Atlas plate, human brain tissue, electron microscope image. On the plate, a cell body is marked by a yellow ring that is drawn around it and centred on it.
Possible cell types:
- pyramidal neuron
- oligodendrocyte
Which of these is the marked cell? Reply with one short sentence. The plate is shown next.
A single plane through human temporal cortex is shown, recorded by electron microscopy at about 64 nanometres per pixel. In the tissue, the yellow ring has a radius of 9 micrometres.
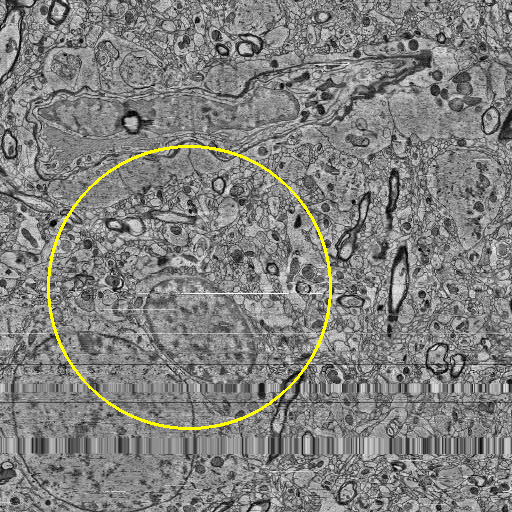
The marked cell is an oligodendrocyte.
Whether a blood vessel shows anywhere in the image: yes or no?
Yes.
